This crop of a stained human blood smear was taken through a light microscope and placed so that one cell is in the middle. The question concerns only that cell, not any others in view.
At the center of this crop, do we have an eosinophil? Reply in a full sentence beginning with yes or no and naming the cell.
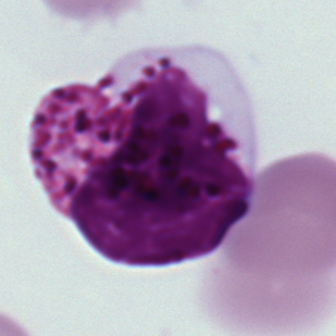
No, the cell in the middle is recognised as a basophil rather than an eosinophil.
